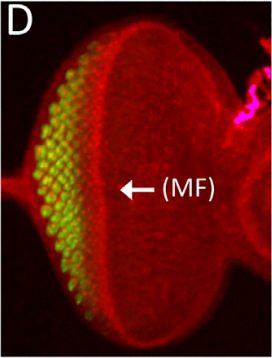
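This is a larval eye disc in which a bright vertical band crosses the oval epithelium. Behind the band lie many small green clusters set in regular, evenly spaced columns that fill a broad crescent of the disc. Ahead of the band the epithelium shows only the red outline staining and no green clusters. The clusters nearest the band are smaller and fainter than those farther behind it.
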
